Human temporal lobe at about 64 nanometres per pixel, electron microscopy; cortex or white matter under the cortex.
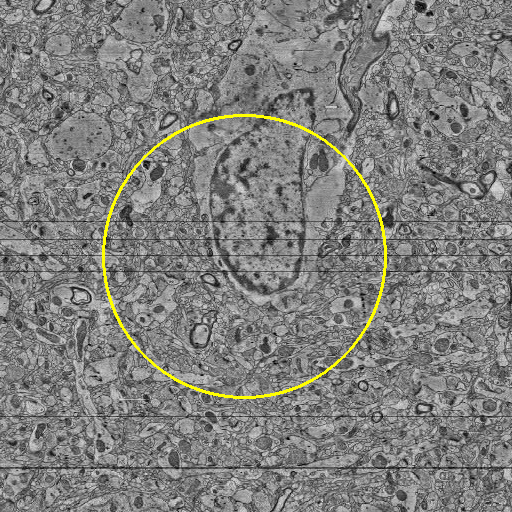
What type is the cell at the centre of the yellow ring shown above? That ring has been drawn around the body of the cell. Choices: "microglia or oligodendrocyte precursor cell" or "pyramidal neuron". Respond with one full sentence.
My answer is that a microglial cell or oligodendrocyte precursor cell lies at the centre of the yellow ring above.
